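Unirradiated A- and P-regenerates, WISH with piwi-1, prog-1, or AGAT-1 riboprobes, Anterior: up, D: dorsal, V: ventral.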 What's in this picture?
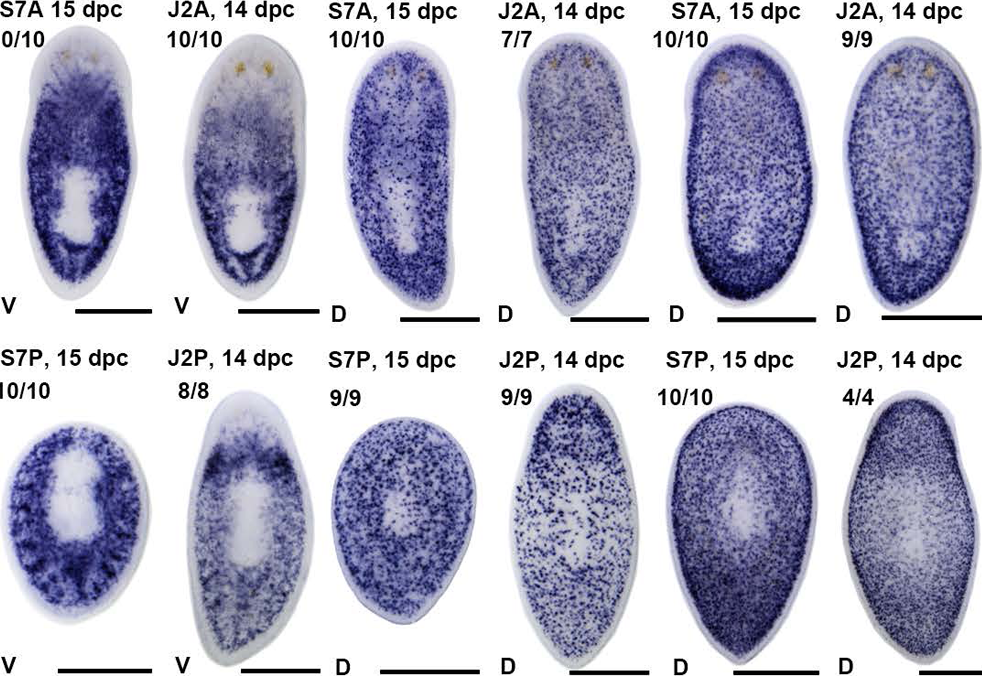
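The labelled cells show as many small dark dots spread broadly through the body, leaving a pale oval in the middle of the animal. In the pieces that carry a head, a pair of small dark eyespots sits at the front end.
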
